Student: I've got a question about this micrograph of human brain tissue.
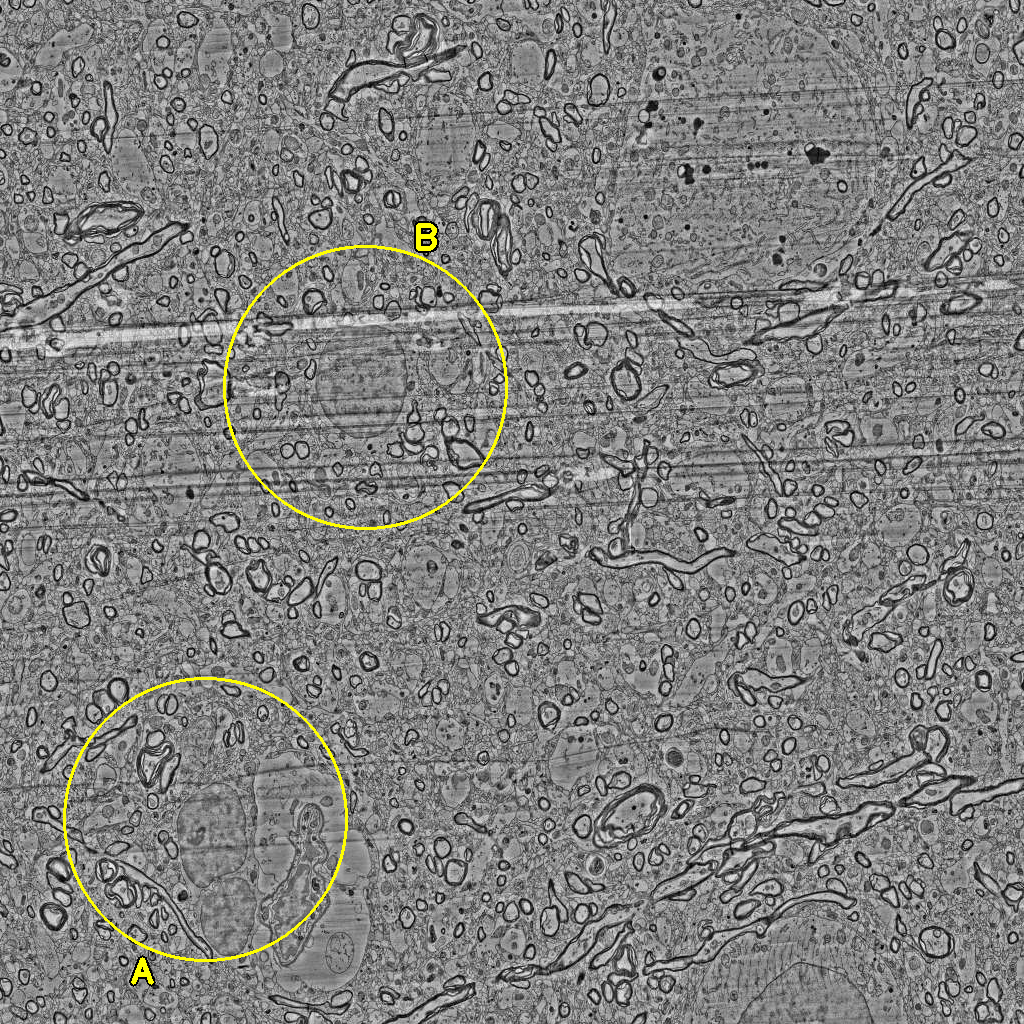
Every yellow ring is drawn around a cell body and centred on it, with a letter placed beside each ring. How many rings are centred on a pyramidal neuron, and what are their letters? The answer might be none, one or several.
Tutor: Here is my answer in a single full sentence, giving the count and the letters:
Since no ring is centred on a pyramidal neuron, the count of such rings is zero.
